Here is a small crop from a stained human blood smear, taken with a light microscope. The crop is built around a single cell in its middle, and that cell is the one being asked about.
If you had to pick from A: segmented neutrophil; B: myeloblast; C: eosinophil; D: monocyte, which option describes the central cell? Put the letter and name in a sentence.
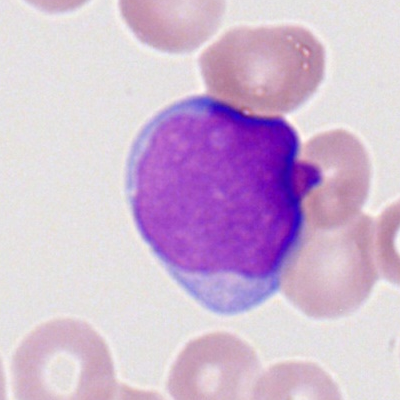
The central cell in this crop is a myeloblast, so the correct choice is option B.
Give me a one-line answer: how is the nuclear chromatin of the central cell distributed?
The chromatin pattern is fine and free of coarse clumps.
